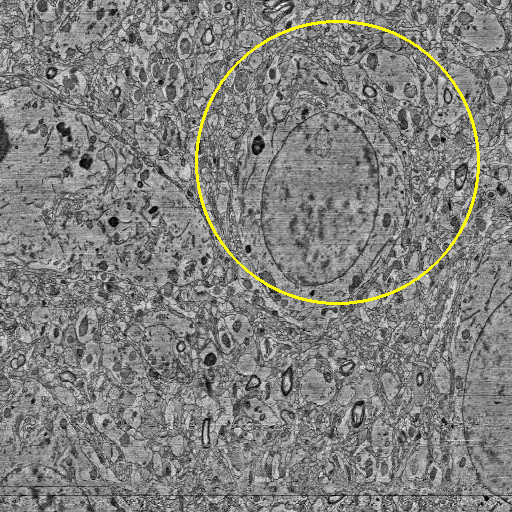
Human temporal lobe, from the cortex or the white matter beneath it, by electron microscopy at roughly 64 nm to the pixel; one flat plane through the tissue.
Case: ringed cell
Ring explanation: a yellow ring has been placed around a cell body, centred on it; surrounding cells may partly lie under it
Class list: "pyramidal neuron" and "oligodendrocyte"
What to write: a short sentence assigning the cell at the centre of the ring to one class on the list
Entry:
The cell at the ring's centre is a pyramidal neuron.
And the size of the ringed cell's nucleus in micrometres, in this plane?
In this plane the nucleus is clearly longer than it is wide, at approximately 12 by 7 micrometres.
